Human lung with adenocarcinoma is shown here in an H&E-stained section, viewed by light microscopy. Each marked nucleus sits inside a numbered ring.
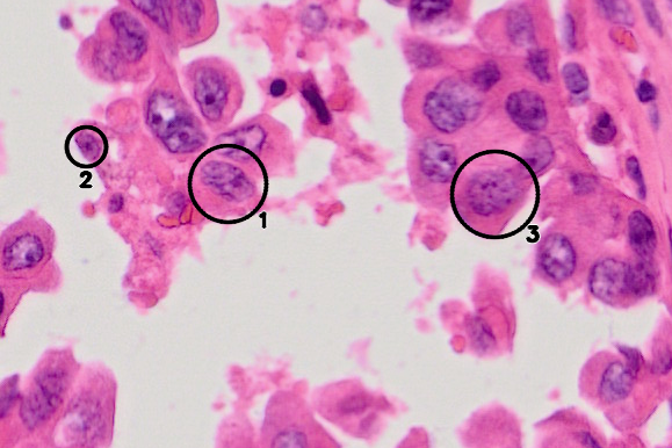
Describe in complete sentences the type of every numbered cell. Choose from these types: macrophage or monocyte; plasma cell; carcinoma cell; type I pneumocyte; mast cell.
Cell 1 is a carcinoma cell, cell 2 is a macrophage or monocyte and cell 3 is a carcinoma cell.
